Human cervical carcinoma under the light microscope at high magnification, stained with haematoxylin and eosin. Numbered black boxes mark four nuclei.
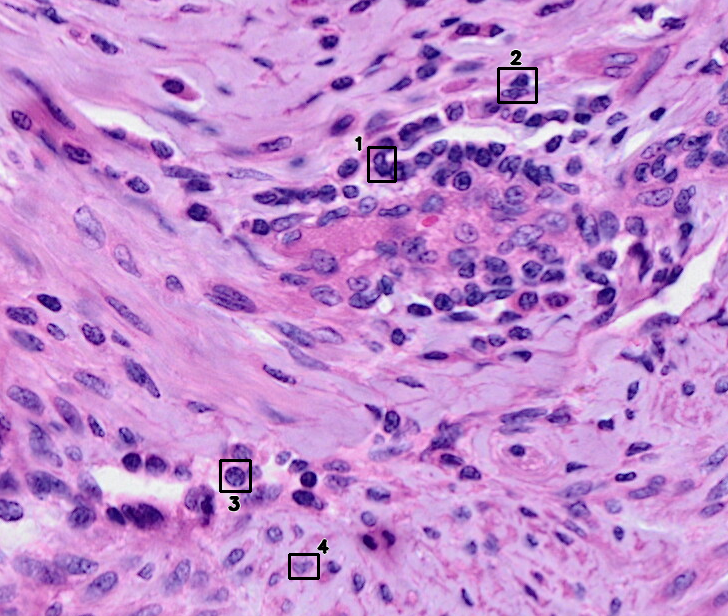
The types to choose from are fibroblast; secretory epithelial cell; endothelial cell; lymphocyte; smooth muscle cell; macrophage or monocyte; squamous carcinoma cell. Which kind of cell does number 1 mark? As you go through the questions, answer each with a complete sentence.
What the number 1 marks in this field is a lymphocyte.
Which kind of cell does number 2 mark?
The cell tagged with 2 in this tissue section is a lymphocyte.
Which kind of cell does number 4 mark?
The cell indicated with the number 4 is classed as a smooth muscle cell.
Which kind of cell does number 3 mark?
The one numbered 3 among the marked cells is a lymphocyte.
